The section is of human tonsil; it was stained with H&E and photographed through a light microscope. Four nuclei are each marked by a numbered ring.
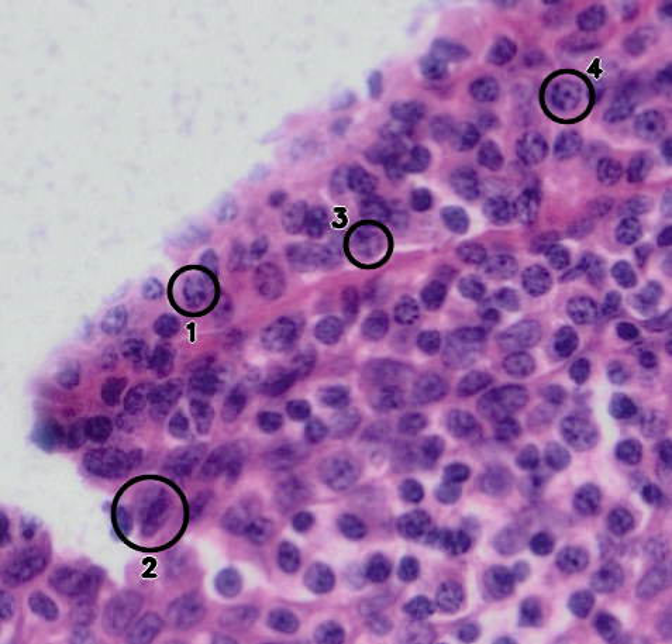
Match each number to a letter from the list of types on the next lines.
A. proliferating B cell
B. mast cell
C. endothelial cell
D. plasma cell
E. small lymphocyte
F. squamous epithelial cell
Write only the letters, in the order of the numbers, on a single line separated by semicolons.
D; F; D; D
